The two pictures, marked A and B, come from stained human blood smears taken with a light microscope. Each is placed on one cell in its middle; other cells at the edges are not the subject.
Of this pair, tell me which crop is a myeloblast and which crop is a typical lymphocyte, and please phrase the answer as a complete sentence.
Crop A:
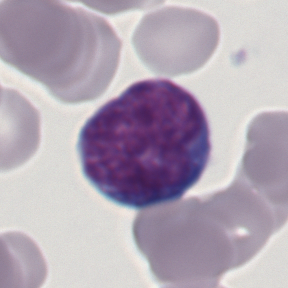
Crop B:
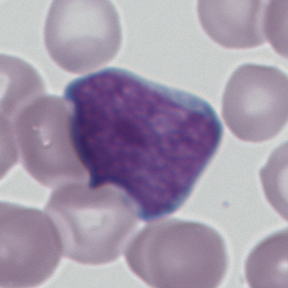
Crop A is a typical lymphocyte, and crop B is a myeloblast.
